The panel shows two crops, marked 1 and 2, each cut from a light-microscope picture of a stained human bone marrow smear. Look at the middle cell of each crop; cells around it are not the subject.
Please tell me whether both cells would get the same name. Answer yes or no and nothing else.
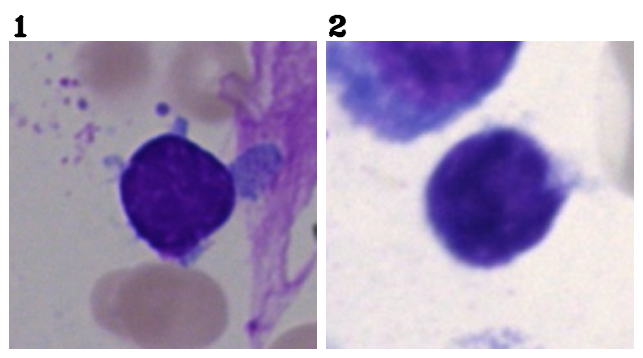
yes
